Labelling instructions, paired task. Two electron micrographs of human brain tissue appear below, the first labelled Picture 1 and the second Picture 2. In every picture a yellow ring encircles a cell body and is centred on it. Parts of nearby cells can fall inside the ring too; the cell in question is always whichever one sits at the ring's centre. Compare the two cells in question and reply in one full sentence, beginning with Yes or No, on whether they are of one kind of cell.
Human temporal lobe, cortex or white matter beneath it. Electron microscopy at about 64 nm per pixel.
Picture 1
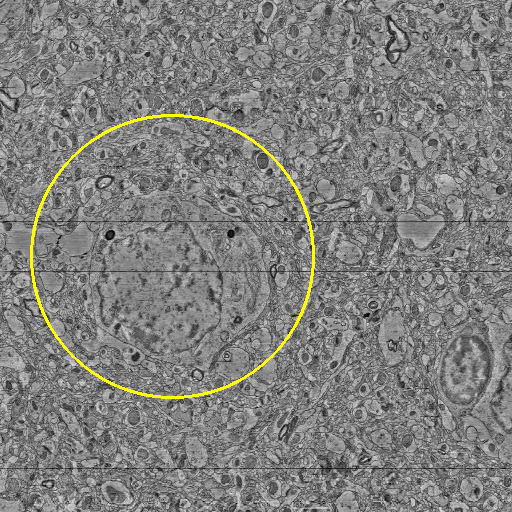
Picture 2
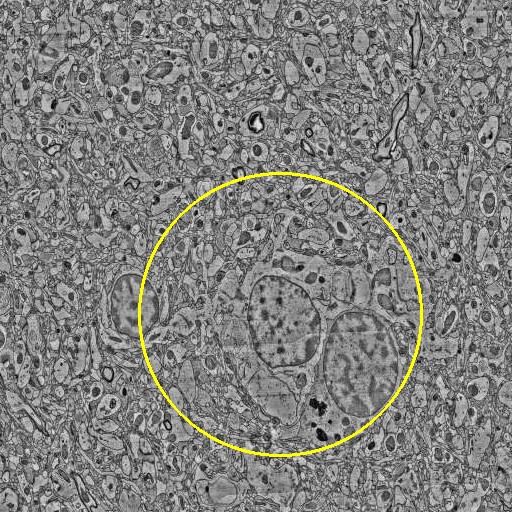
No, the two cells at the ring centres in Picture 1 and Picture 2 are of two kinds.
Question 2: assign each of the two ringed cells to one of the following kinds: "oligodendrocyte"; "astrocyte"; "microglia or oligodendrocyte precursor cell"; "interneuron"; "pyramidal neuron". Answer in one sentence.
The two cells are an interneuron in the first picture and an astrocyte in the second.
